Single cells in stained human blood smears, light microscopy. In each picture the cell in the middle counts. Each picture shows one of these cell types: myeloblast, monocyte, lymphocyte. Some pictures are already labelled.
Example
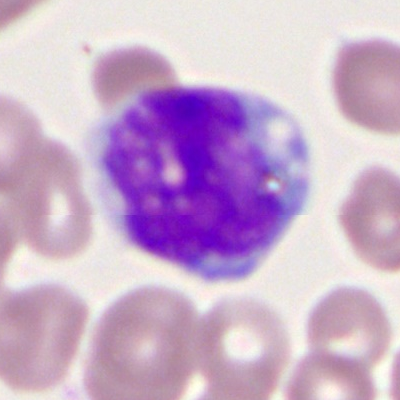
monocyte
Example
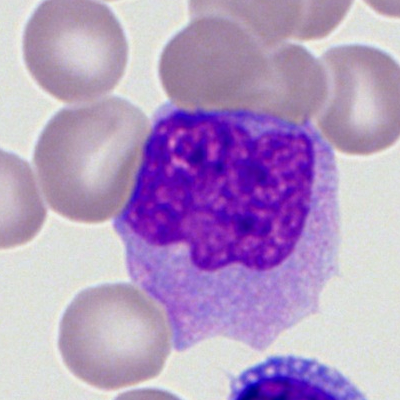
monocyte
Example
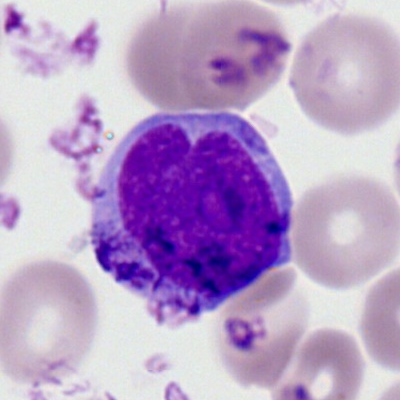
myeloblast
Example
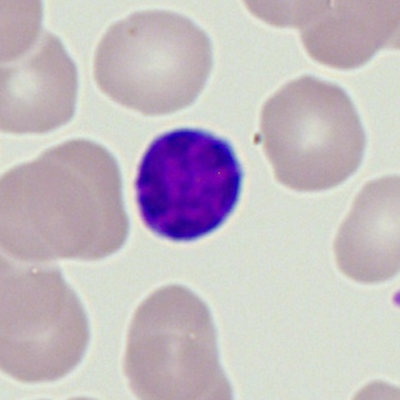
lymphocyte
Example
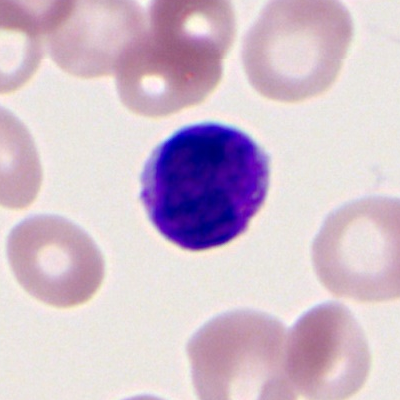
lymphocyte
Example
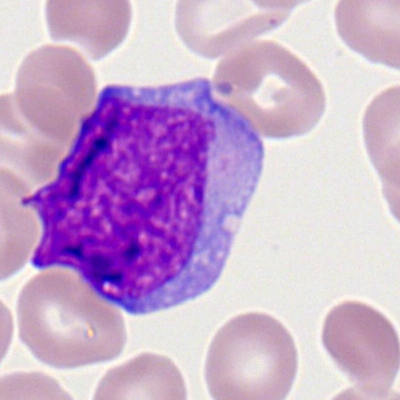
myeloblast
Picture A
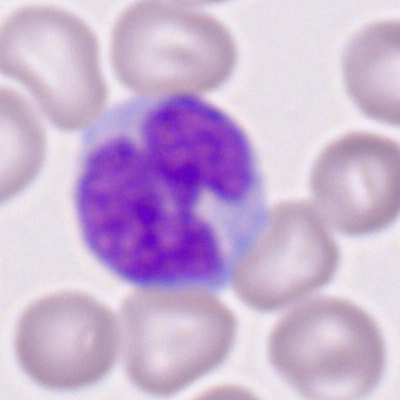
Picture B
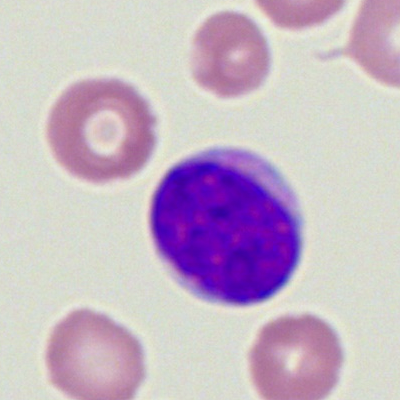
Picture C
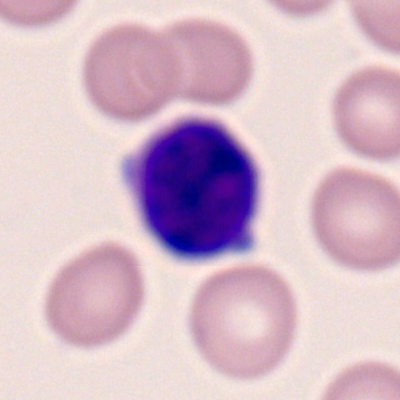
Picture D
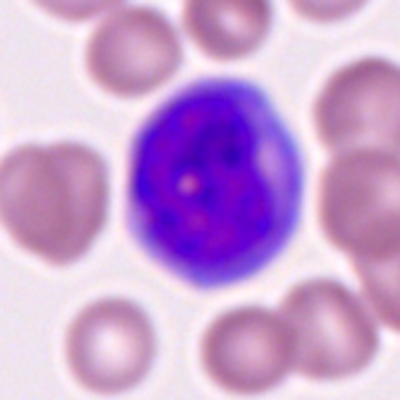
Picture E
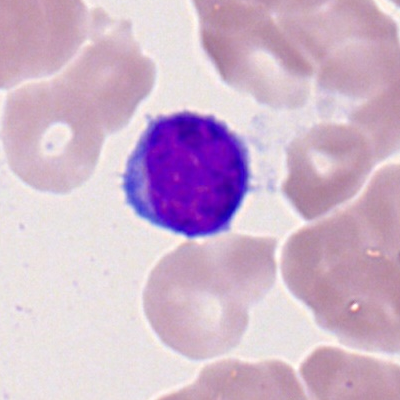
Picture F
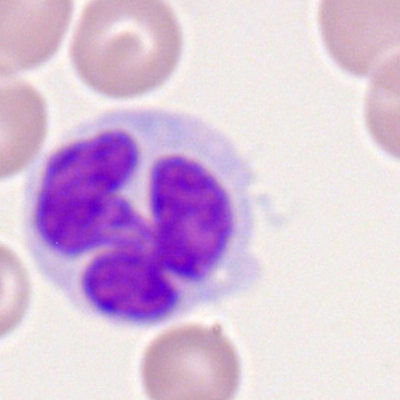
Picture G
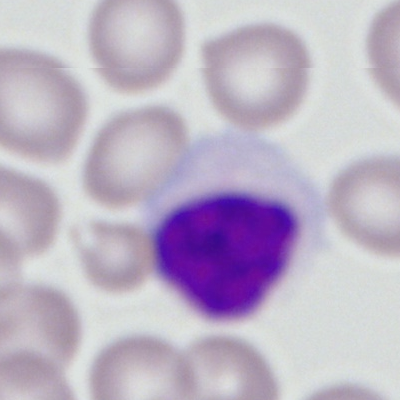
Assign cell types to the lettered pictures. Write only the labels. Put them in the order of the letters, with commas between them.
monocyte, lymphocyte, lymphocyte, monocyte, lymphocyte, monocyte, lymphocyte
